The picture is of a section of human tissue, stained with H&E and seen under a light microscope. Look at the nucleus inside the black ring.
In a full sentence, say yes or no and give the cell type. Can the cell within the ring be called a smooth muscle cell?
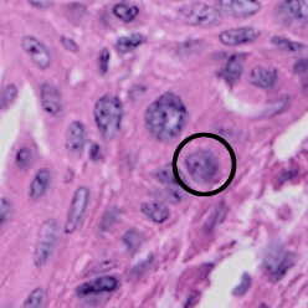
No, the cell within the ring is not a smooth muscle cell; the correct answer is a squamous carcinoma cell.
